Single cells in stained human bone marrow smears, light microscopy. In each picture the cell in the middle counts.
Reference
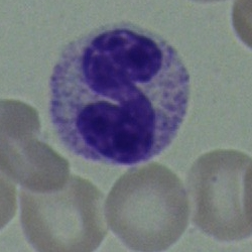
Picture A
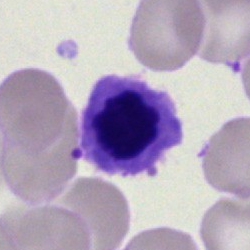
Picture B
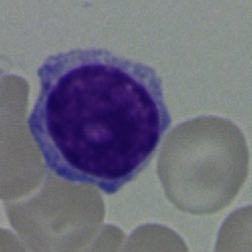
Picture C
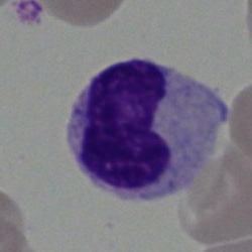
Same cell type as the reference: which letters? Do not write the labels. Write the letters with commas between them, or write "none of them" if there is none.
C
